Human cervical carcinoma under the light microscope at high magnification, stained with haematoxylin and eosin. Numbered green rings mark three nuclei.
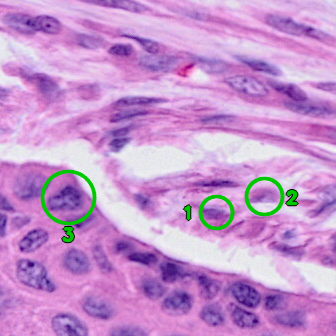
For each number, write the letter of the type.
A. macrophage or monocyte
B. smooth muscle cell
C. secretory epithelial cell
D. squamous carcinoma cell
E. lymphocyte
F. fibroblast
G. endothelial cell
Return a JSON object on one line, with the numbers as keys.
{"1": "F", "2": "F", "3": "D"}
